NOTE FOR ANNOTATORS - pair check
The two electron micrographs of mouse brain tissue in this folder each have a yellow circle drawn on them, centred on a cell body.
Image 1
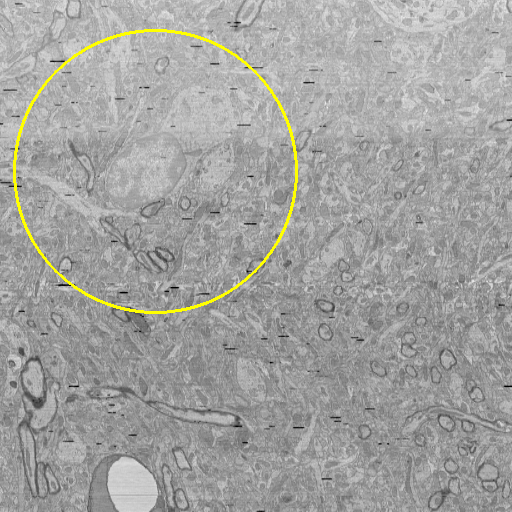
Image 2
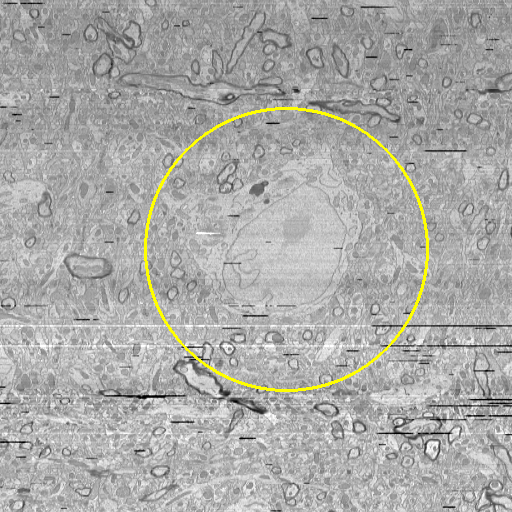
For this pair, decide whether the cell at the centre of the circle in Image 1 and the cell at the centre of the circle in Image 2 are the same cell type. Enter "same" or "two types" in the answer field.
two types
